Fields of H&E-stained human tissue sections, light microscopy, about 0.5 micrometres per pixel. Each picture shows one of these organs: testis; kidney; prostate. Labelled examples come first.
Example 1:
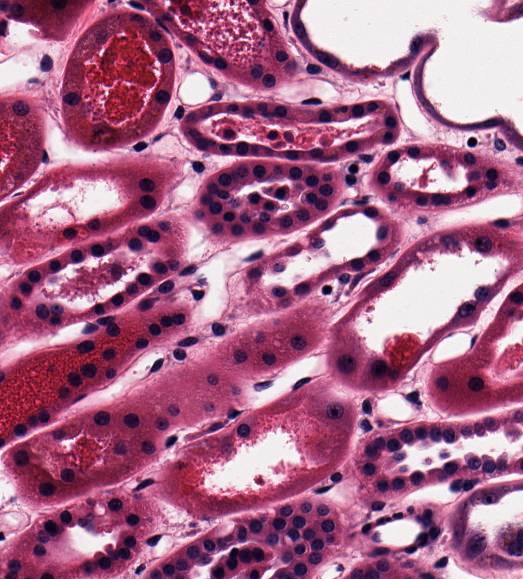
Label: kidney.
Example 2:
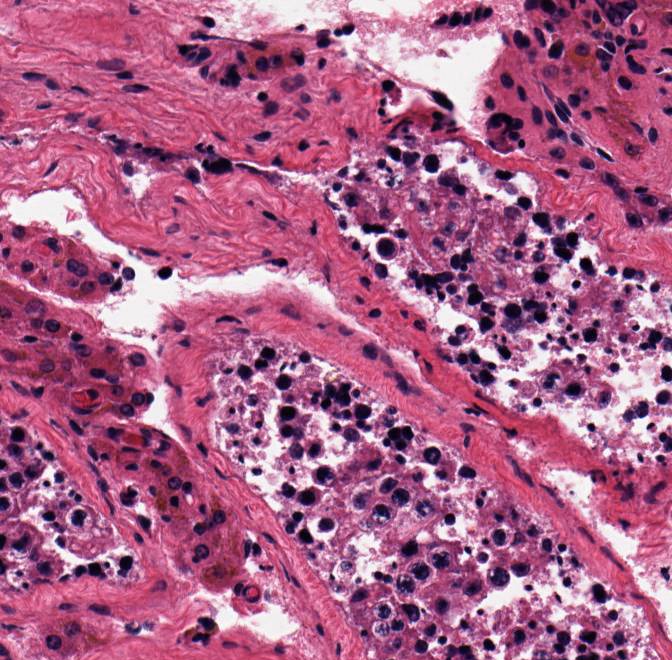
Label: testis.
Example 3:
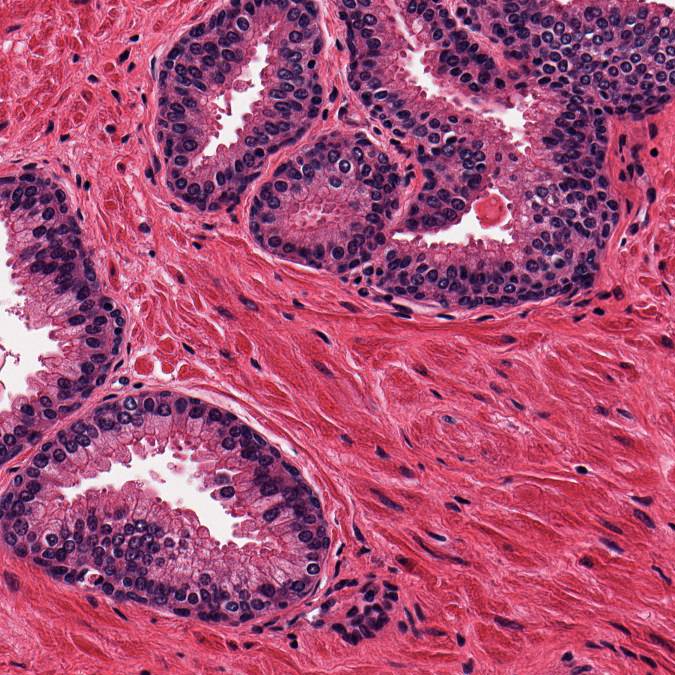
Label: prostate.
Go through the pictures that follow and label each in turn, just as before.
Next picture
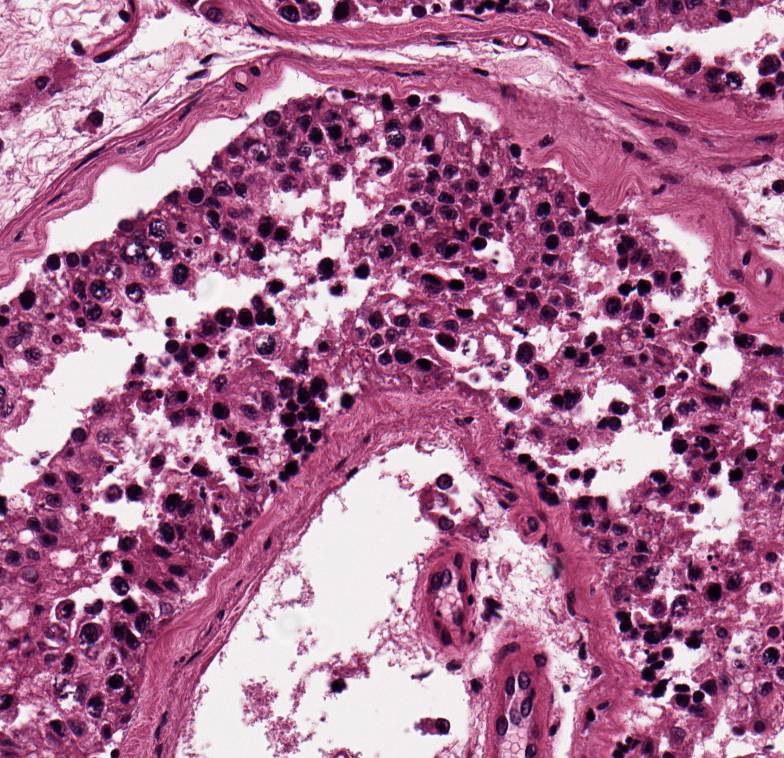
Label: testis.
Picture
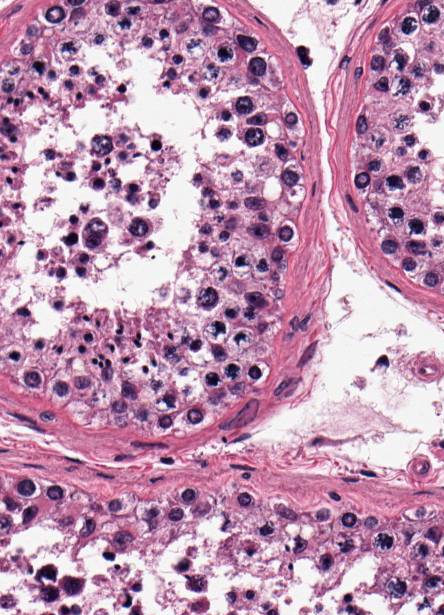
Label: testis.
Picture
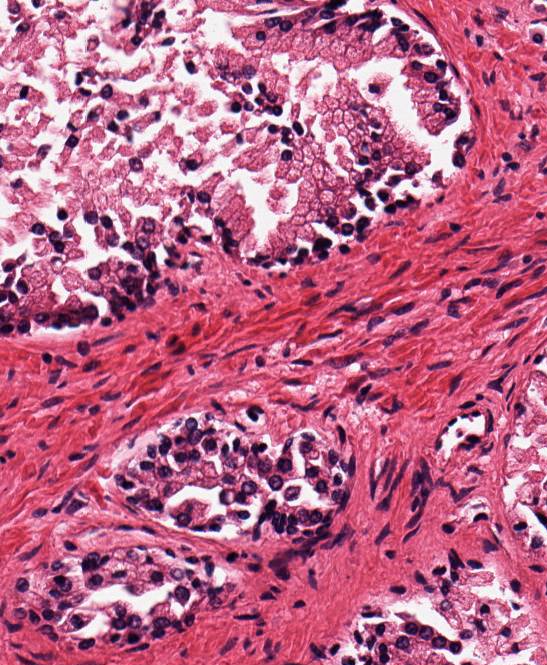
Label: prostate.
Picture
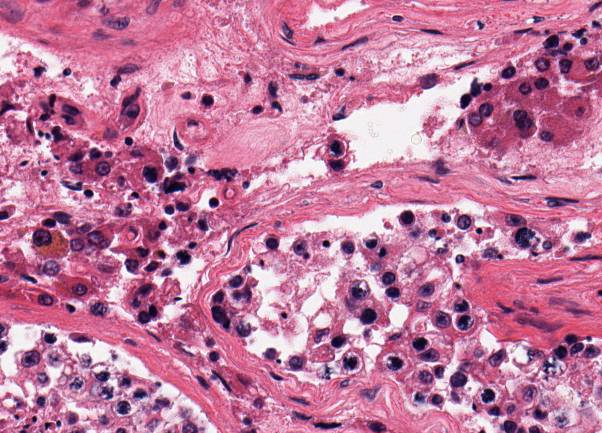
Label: testis.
